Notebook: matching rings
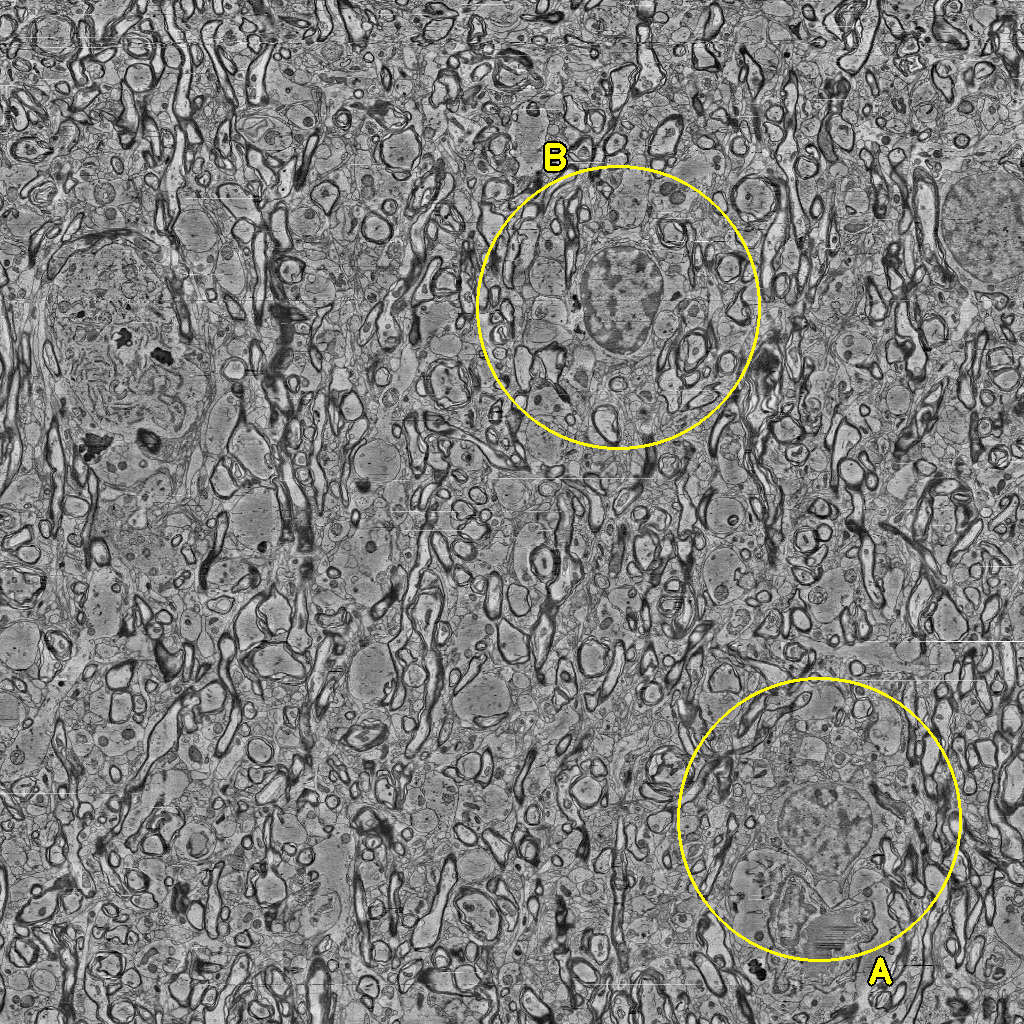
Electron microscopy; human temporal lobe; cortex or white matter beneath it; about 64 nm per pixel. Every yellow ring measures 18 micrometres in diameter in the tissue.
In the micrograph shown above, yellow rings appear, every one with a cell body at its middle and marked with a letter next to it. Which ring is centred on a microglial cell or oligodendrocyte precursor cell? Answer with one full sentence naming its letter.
A cell of that kind lies at the centre of the ring lettered B.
